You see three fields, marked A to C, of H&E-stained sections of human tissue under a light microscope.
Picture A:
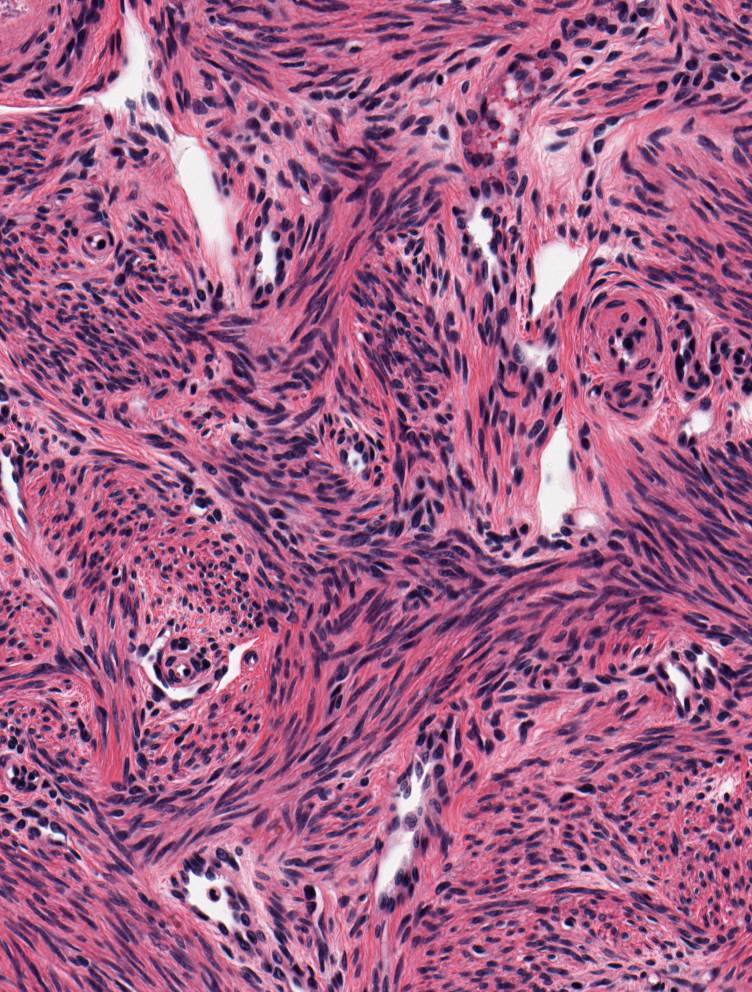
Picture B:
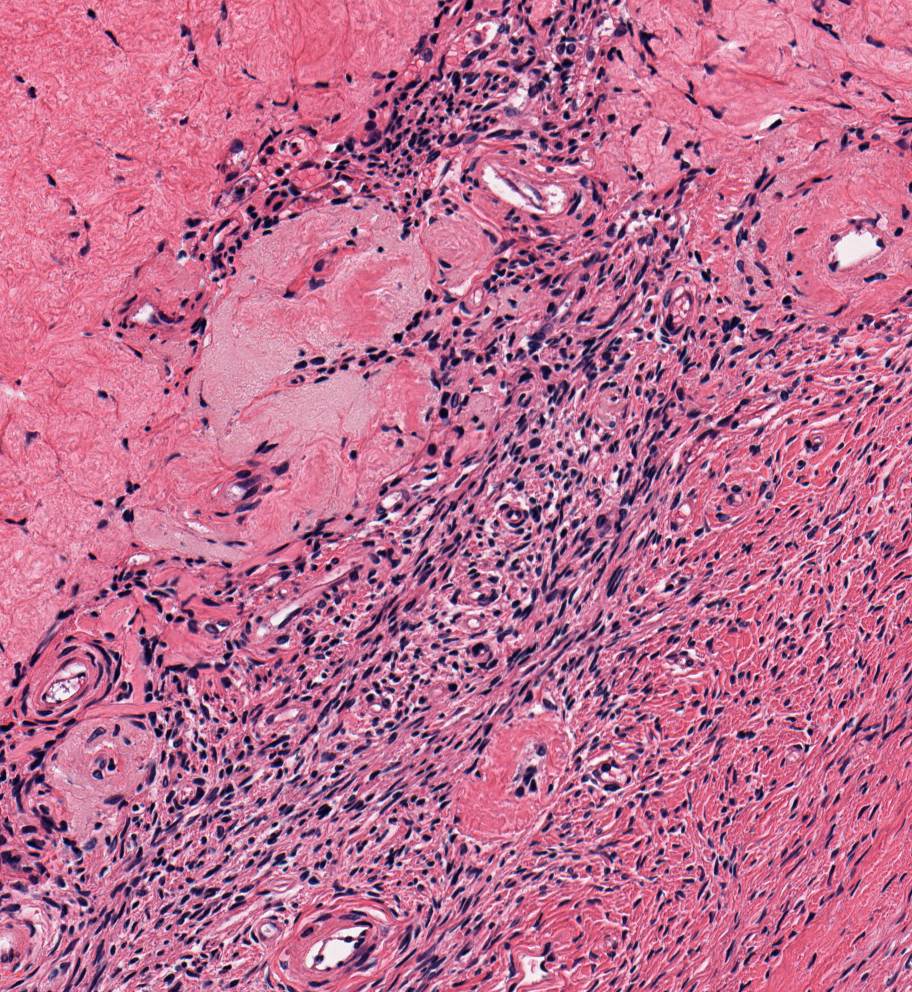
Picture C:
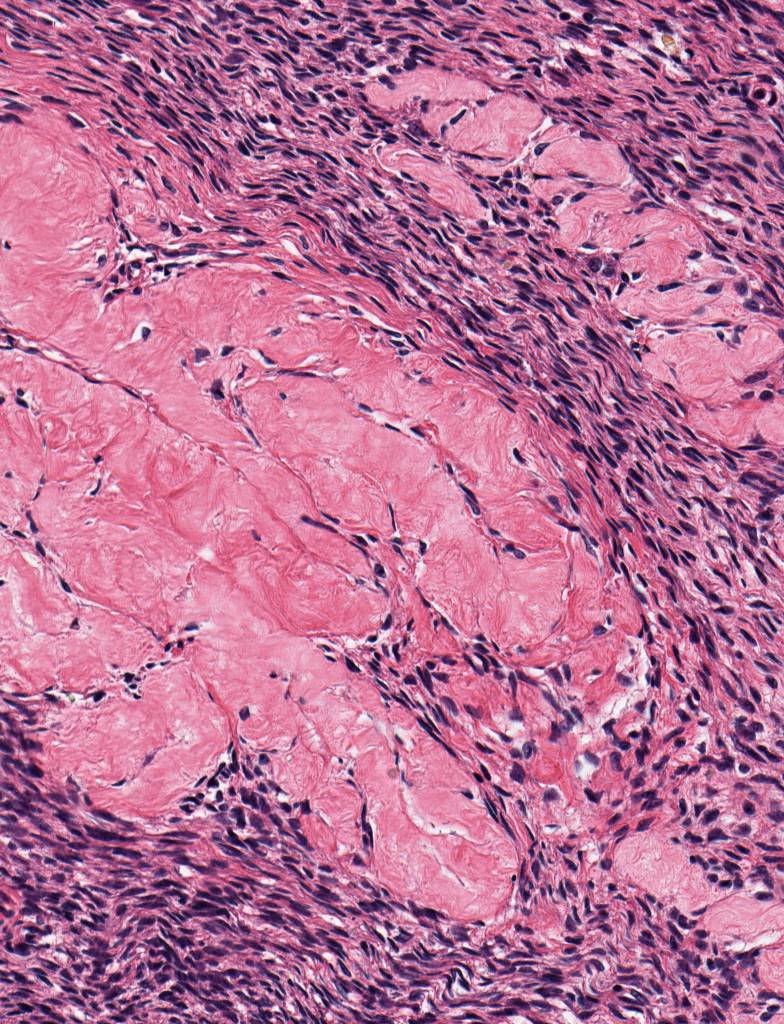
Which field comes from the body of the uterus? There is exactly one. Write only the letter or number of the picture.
A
